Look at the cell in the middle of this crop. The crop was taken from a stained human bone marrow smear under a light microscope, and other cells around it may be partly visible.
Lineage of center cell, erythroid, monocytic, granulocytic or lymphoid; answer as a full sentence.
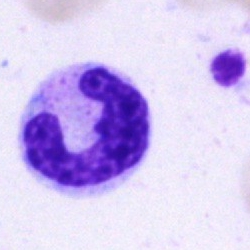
For the cell at the center, the lineage is granulocytic.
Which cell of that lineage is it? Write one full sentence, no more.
In this crop, the cell at the very middle is a band neutrophil.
